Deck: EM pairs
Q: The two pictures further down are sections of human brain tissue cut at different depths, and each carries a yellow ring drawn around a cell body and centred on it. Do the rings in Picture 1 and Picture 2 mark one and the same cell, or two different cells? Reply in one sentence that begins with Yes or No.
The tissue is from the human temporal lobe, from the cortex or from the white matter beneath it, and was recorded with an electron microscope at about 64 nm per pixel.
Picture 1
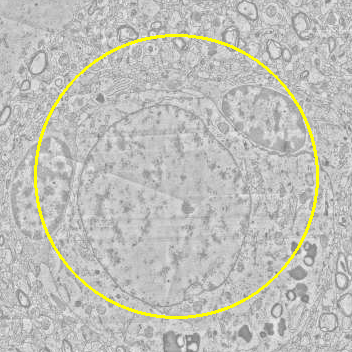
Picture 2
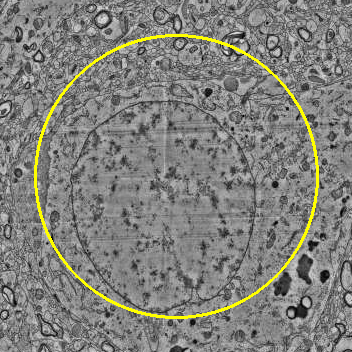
Yes, both yellow rings mark one and the same cell.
